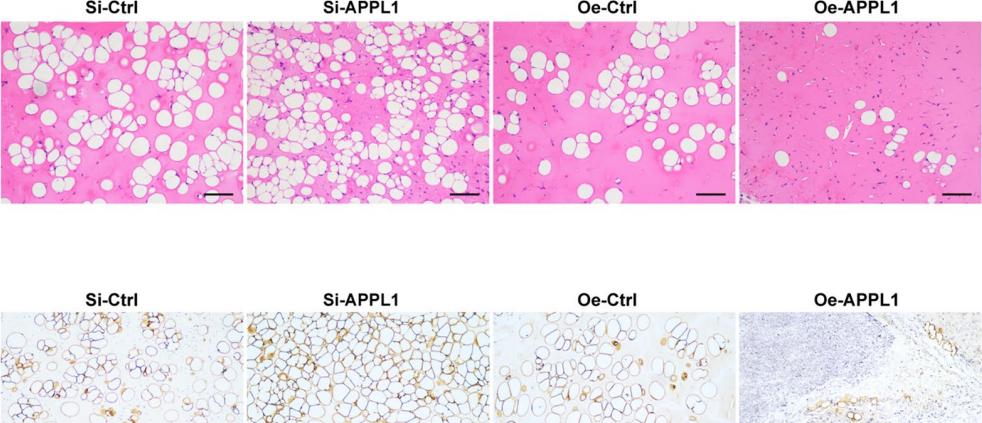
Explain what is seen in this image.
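In the upper row, stained pink and purple, round clear empty spaces of varied size lie in a pale pink, fairly uniform matrix. Small purple nuclei are scattered between them. In the lower row the clear vacuoles are outlined by thin brown-stained rims, and the background is pale. In these rows the vacuoles pack closely in some images and lie sparse in others. In one lower image most of the field is cellular tissue with bluish nuclei and only a few vacuoles at its edge.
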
